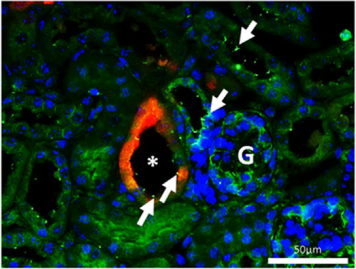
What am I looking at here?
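This is kidney tissue cut across many small tubules, with a round glomerulus crowded with blue nuclei near the centre. One tubule beside it is lined by cells whose cytoplasm glows strongly red around a wide, empty-looking lumen. The other tubules show a fainter green outline of their cells, and small bright green dots and short lines lie here and there, some at the edge of the red tubule and next to the glomerulus.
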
